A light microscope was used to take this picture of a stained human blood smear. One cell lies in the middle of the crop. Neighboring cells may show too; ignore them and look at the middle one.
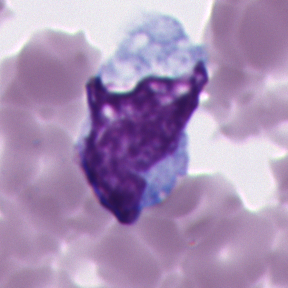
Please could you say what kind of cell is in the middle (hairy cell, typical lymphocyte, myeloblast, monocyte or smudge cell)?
monocyte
